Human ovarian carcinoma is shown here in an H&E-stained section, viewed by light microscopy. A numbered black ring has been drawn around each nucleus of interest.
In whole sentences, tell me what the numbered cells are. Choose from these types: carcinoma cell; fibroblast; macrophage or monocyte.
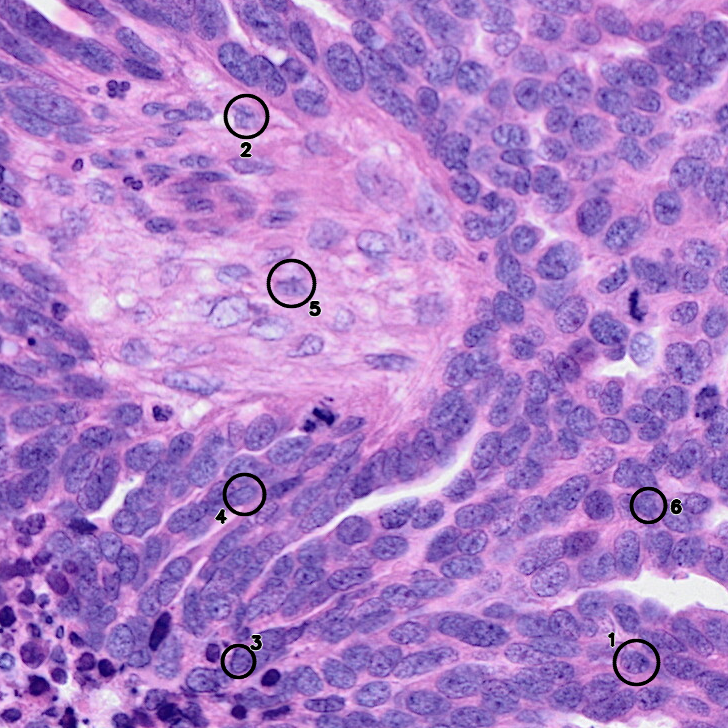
Cells 1, 3, 4 and 6 are carcinoma cells. Cells 2 and 5 are fibroblasts.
